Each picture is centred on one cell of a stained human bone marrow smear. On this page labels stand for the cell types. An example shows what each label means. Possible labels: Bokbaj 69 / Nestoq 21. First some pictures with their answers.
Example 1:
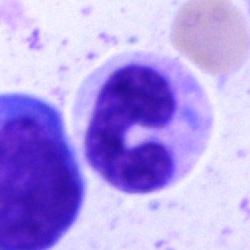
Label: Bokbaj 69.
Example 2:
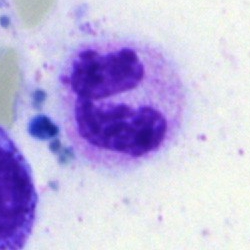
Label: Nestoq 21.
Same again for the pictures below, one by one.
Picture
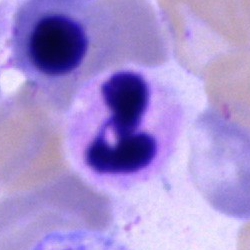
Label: Nestoq 21.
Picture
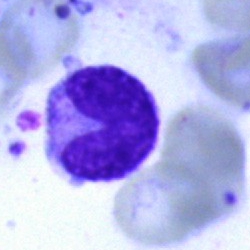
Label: Bokbaj 69.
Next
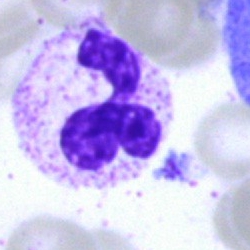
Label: Nestoq 21.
